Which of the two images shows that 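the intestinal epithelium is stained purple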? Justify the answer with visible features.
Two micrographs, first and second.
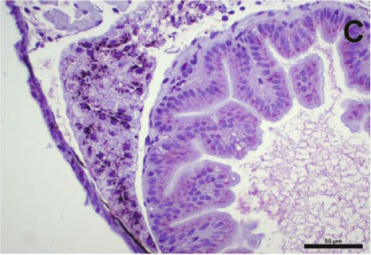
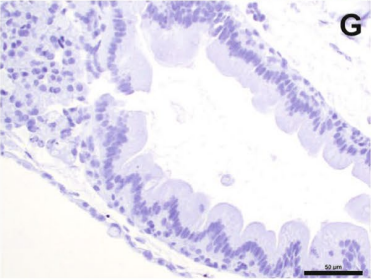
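Second image: the folded columnar epithelium is only pale blue, without purple. First image: the folded columnar epithelium carries a purple tint. The answer: the first image.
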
